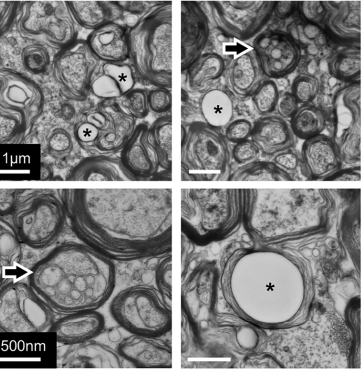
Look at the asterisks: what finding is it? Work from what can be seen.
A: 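Vacuole formation/ clearance of axon cytoplasm. The asterisks lie in smooth, pale, featureless round spaces.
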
